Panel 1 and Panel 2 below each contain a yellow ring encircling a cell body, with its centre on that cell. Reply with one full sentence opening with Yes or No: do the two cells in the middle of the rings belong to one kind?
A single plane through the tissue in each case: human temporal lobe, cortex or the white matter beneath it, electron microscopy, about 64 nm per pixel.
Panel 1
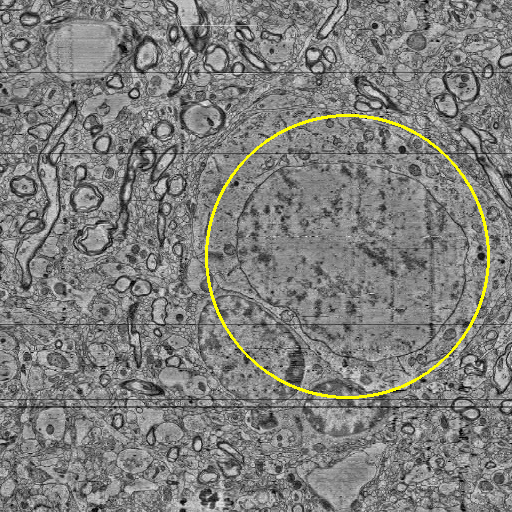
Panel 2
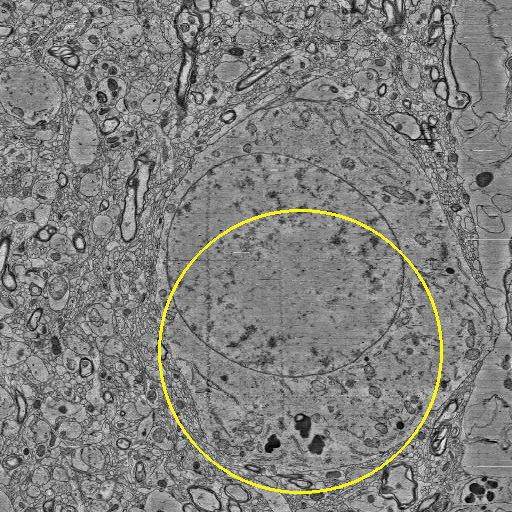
Yes, the cells at the middle of the Panel 1 ring and the Panel 2 ring are of one kind.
